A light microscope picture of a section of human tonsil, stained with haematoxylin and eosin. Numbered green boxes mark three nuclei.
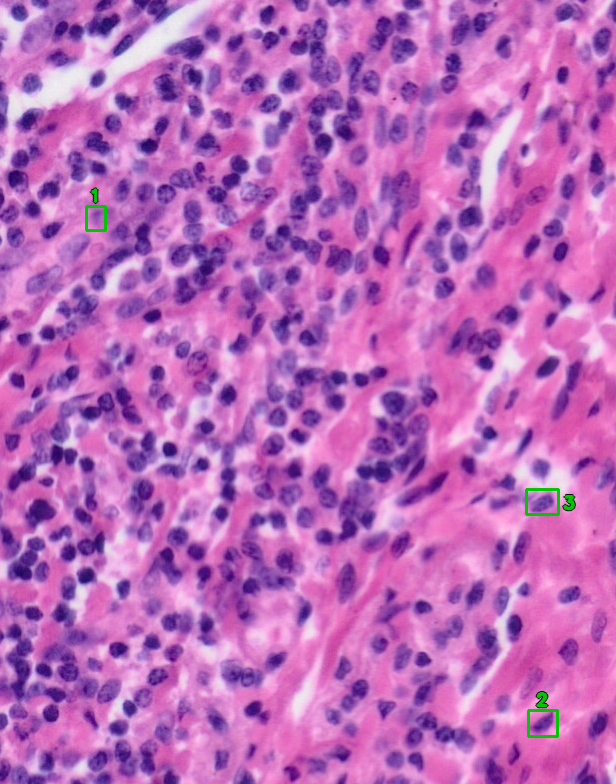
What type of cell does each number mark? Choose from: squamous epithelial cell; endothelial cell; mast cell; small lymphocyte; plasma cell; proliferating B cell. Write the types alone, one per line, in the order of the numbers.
endothelial cell
mast cell
mast cell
